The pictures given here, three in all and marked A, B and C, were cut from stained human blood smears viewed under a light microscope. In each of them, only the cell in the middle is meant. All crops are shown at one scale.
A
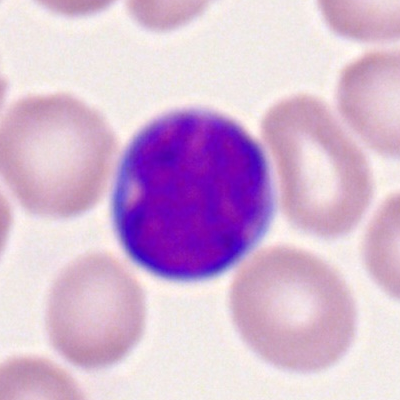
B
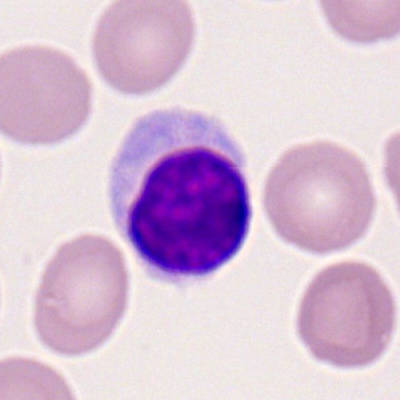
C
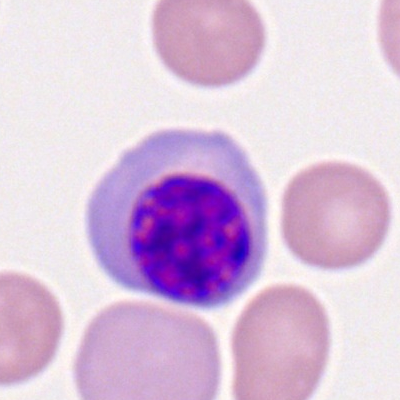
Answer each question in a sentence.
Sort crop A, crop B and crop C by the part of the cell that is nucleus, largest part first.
From the most filled to the least, the order is A, B, C.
